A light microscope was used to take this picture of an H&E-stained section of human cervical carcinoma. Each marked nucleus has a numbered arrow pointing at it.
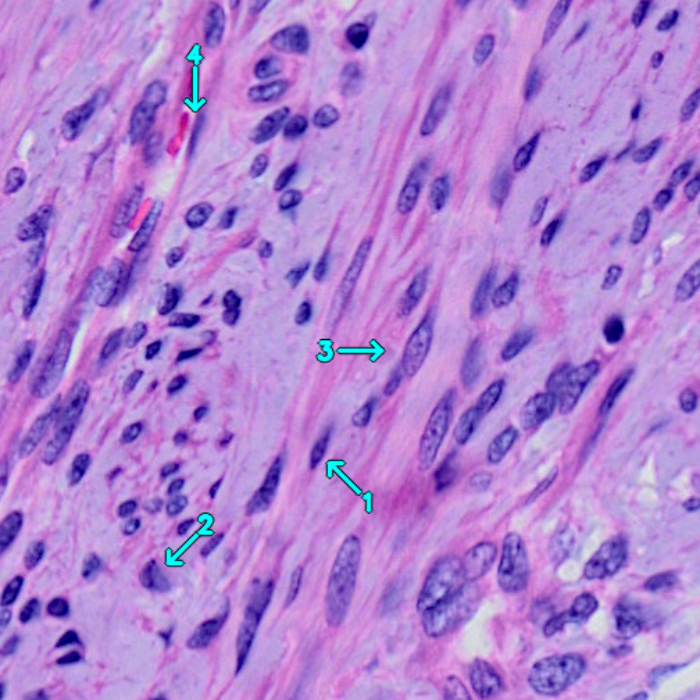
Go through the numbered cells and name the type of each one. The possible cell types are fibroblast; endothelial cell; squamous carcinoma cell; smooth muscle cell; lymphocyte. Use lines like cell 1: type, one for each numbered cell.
cell 1: smooth muscle cell
cell 2: smooth muscle cell
cell 3: smooth muscle cell
cell 4: endothelial cell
